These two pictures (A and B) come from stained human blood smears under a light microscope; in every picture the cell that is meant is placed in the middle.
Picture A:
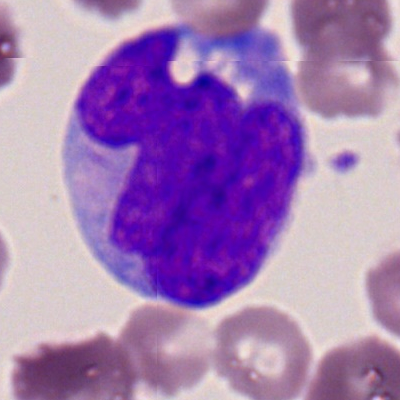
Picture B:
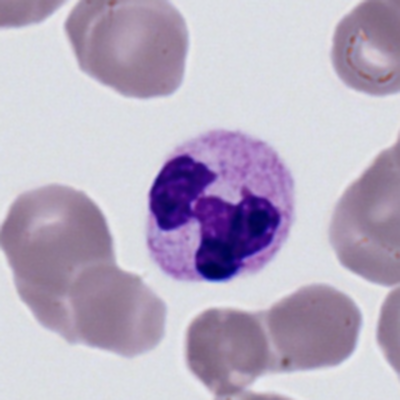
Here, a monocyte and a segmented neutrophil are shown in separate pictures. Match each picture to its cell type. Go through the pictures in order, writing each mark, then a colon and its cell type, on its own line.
A: monocyte
B: segmented neutrophil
